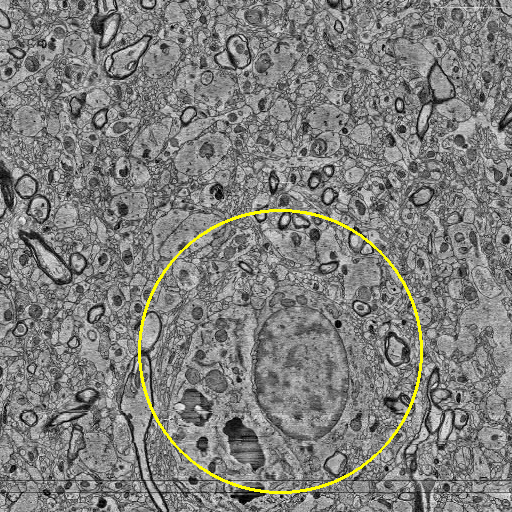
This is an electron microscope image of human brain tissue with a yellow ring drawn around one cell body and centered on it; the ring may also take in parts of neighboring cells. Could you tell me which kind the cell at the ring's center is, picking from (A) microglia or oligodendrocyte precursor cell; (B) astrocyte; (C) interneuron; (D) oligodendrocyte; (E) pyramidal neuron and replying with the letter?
D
